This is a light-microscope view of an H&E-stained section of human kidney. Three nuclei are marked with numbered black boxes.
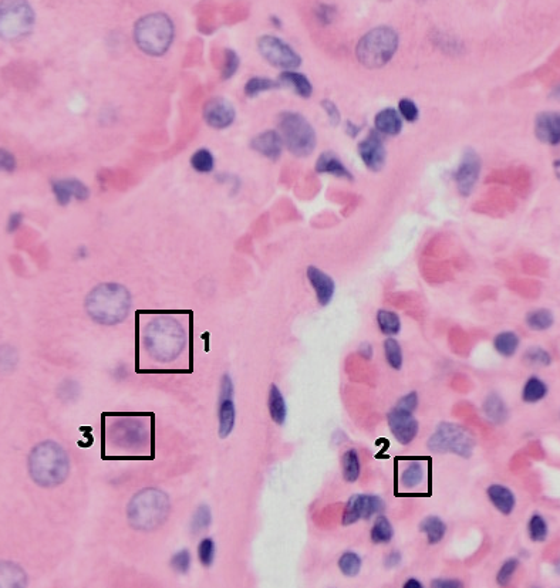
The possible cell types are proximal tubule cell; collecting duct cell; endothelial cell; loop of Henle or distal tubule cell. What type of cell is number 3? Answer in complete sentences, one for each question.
The correct label for cell 3 is a proximal tubule cell.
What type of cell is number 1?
The label 1 in this section denotes a proximal tubule cell.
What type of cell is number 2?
The nucleus labelled 2 belongs to an endothelial cell.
